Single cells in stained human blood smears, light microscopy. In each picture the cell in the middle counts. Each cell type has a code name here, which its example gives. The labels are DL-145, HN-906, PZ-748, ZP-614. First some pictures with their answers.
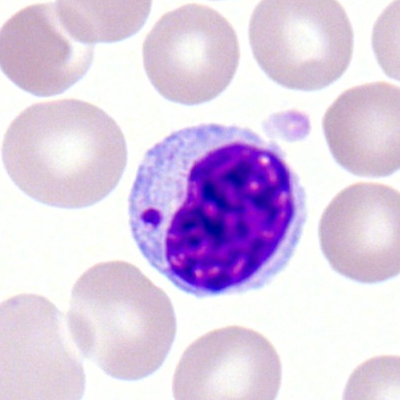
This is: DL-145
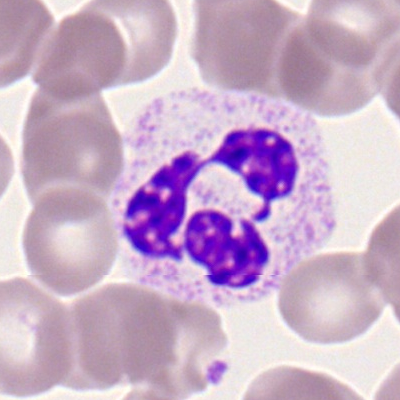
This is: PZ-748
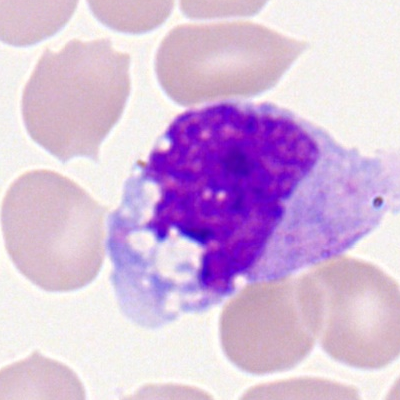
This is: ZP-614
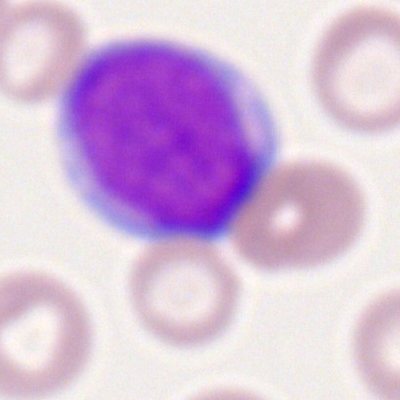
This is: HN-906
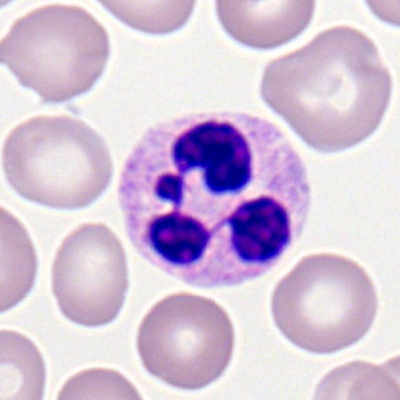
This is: PZ-748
